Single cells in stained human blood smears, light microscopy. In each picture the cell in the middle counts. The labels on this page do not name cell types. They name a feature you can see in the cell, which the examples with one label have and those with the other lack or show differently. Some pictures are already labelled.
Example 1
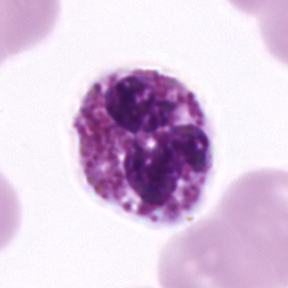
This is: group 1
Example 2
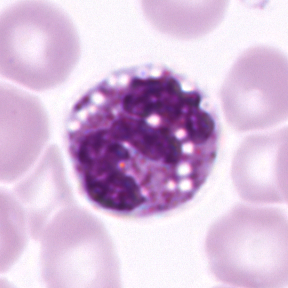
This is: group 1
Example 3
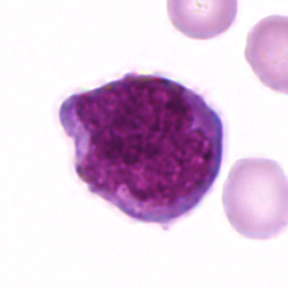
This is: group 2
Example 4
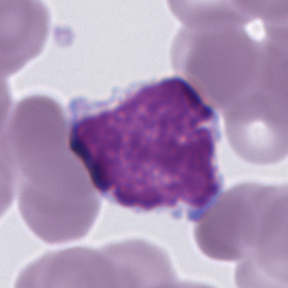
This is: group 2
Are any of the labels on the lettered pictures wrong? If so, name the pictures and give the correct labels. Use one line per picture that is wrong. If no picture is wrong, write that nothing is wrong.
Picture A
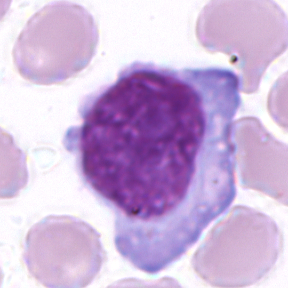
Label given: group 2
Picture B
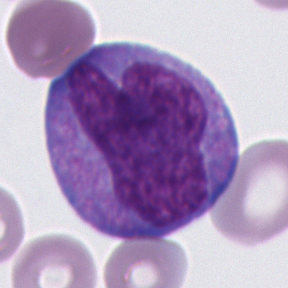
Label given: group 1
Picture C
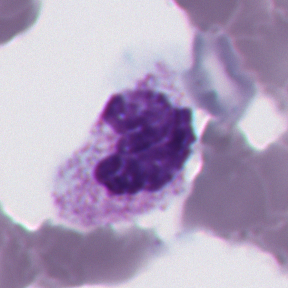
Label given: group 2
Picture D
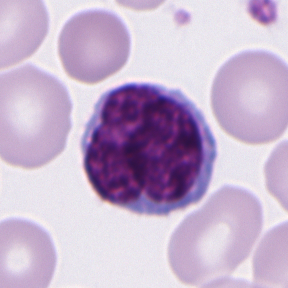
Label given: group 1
All correct.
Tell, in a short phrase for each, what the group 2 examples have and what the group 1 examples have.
Seen in group 2: ragged outline or projections; seen in group 1: smooth outline.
